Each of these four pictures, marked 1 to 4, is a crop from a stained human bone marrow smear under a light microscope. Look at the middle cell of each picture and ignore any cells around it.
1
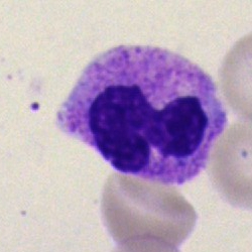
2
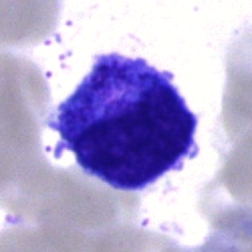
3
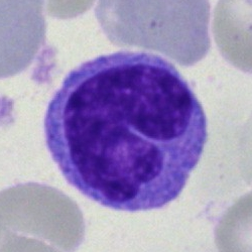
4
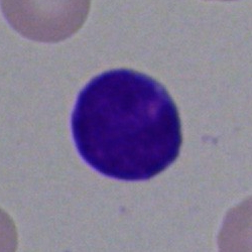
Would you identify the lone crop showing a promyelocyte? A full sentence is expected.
The cell identified as a promyelocyte is the one in crop 2.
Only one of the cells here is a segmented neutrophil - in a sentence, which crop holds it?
Among all the crops given here, the one with a segmented neutrophil is crop 1.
